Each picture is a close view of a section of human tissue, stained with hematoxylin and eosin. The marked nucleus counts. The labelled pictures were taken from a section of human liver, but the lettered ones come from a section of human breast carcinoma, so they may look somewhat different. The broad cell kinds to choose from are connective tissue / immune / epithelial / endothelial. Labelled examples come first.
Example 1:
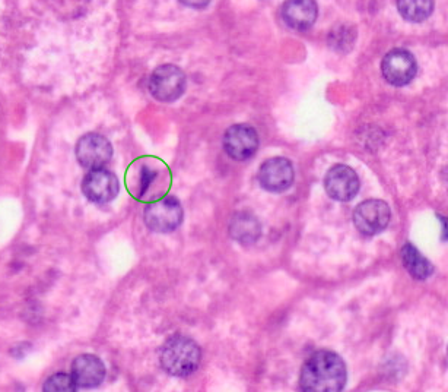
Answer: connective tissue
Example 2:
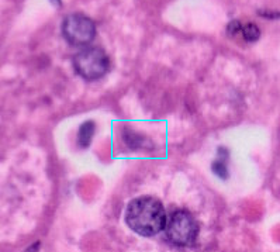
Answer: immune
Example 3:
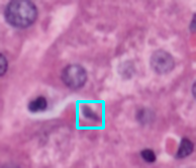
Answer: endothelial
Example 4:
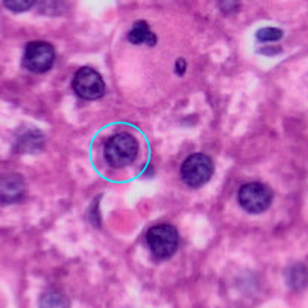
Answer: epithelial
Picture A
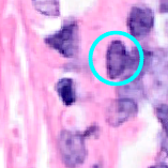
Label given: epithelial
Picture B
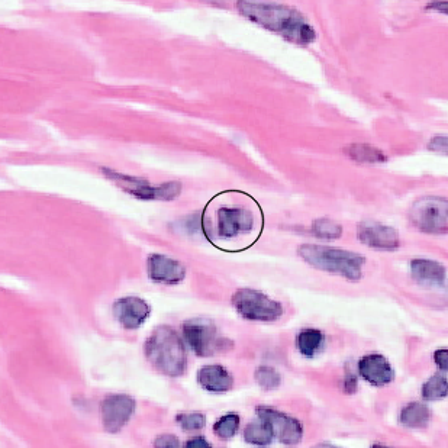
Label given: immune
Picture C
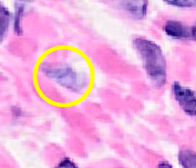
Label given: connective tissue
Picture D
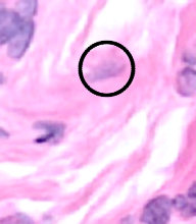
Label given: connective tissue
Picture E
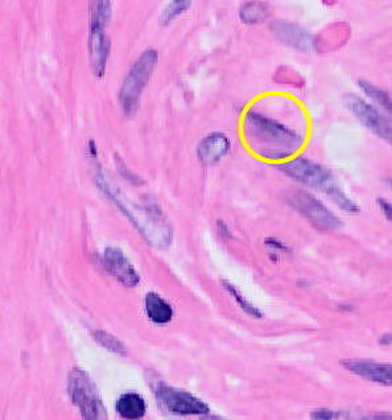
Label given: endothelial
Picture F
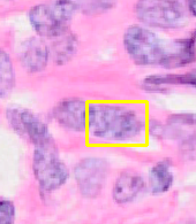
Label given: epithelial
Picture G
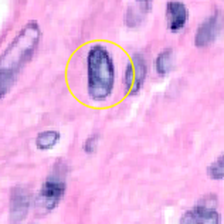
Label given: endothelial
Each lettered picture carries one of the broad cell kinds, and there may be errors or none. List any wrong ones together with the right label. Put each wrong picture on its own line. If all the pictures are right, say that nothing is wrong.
No label is wrong.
